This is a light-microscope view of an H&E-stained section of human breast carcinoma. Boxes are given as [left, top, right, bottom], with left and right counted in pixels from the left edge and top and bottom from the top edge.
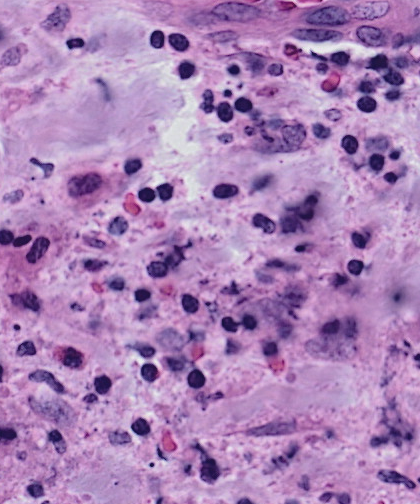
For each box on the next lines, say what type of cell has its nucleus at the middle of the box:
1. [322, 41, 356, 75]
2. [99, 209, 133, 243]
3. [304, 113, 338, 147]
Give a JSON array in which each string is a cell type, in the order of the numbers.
["lymphocyte", "mast cell", "lymphocyte"]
